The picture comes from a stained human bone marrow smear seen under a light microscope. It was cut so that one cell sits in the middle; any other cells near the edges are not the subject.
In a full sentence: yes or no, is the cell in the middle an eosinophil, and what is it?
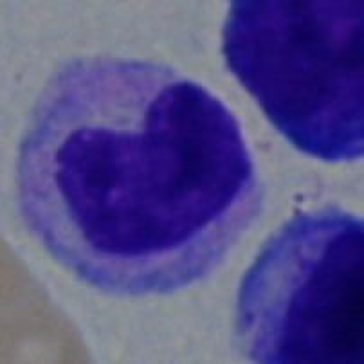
No, not an eosinophil but a band neutrophil is the cell in the centre.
